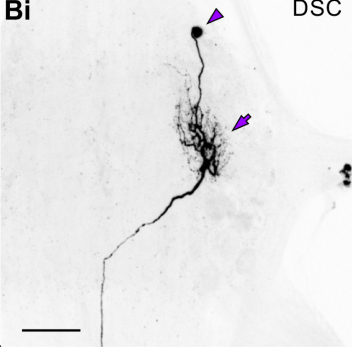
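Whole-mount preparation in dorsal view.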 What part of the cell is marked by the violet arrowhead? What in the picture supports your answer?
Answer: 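Soma. A single round dark body sits at the end of a thin process. The thin process runs from it to the branched tree below.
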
